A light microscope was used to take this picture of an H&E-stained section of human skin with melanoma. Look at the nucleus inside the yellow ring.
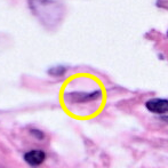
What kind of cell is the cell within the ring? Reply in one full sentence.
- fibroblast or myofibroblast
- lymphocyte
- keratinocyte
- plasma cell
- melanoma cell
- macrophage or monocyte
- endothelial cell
In short, the cell within the ring on this section is a fibroblast or myofibroblast.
